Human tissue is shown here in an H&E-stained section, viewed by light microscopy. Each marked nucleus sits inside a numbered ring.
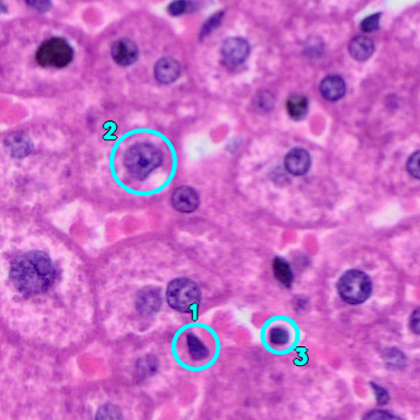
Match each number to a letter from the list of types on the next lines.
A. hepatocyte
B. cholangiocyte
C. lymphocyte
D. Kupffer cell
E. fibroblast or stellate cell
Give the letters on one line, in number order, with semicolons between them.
E; A; C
